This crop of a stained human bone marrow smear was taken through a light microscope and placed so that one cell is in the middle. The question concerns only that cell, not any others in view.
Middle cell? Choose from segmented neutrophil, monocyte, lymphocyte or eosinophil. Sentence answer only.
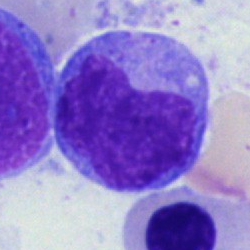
Centred in the crop is a monocyte.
